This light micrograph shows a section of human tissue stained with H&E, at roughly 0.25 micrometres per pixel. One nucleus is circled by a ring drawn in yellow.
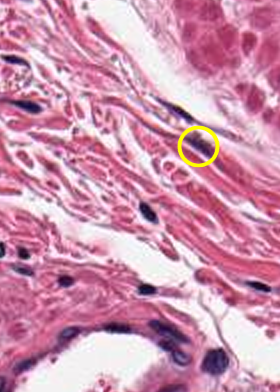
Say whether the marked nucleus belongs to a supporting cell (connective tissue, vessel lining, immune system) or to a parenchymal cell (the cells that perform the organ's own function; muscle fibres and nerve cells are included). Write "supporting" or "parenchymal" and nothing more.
supporting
